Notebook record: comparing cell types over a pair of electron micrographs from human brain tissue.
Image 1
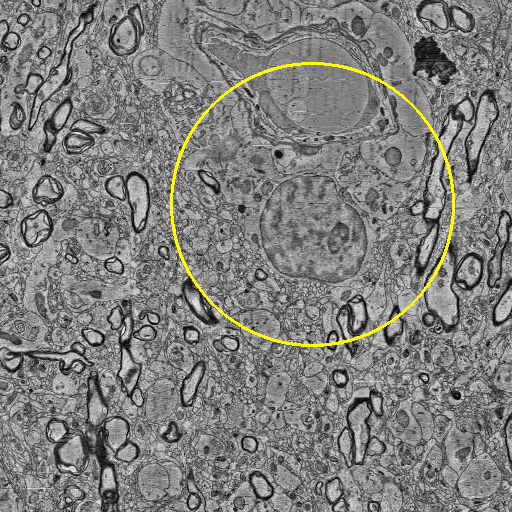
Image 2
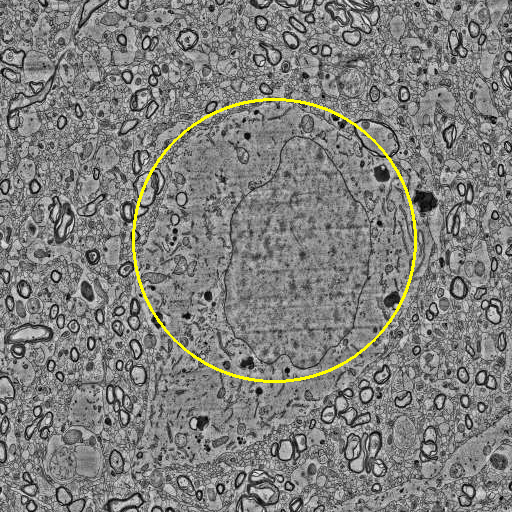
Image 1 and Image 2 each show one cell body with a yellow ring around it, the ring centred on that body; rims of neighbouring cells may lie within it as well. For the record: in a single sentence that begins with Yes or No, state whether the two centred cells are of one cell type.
No, two cell types are found among the centred cells of Image 1 and Image 2.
